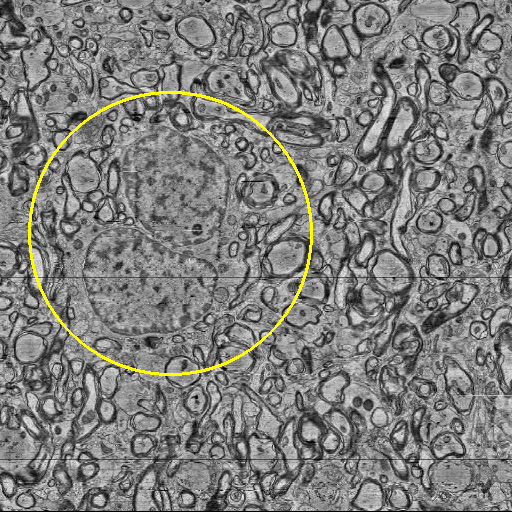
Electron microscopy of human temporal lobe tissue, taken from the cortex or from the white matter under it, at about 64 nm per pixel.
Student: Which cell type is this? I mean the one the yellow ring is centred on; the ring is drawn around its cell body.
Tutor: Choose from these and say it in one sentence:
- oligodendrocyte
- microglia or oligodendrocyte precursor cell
The cell the ring is centred on is an oligodendrocyte.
